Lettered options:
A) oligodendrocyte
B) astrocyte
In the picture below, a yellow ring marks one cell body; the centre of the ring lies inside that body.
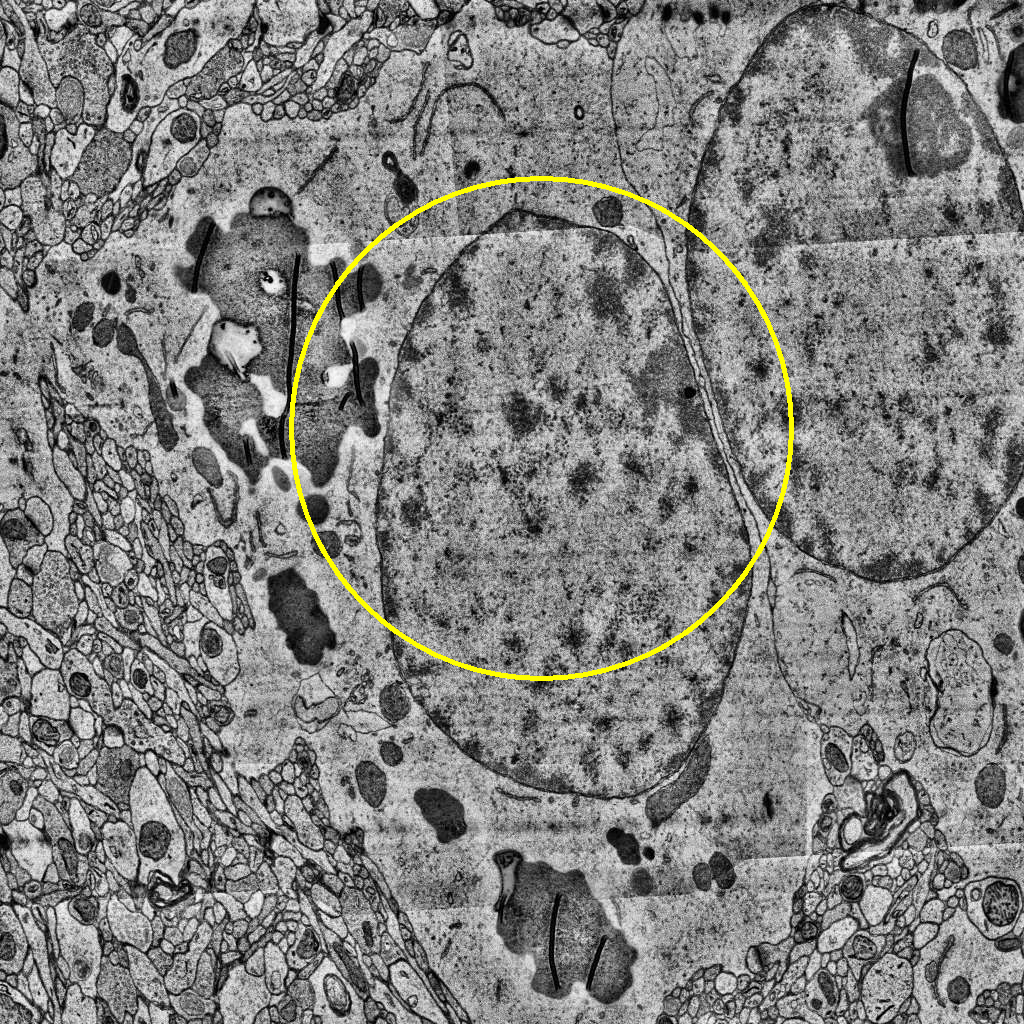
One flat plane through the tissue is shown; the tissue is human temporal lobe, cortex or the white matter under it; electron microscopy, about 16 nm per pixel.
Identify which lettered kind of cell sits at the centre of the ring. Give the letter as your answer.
B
